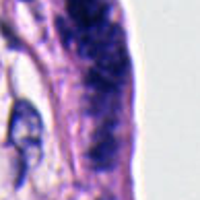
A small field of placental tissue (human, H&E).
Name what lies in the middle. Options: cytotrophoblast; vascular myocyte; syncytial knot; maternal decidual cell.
syncytial knot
